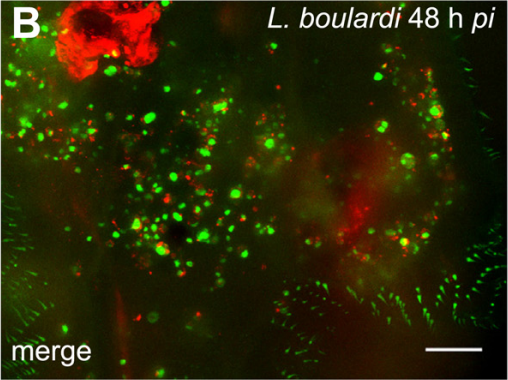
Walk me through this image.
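The terminal segments of a larva are seen from the surface, with sessile blood cells in green mixed with many red puncta and some red or yellow cells. A large bright red irregular mass sits at the upper edge of the field. Diffuse red haze covers part of the centre. Green cuticular denticles form rows along the lower and left edges.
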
